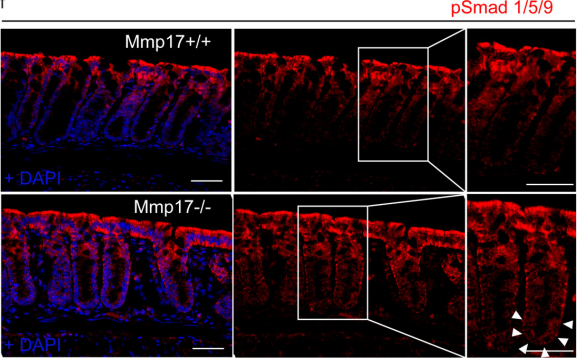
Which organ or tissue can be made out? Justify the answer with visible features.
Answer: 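Parallel tubular glands lined by a single layer of epithelial cells. A continuous surface epithelium caps the glands at the top.
Answer: intestinal crypts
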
